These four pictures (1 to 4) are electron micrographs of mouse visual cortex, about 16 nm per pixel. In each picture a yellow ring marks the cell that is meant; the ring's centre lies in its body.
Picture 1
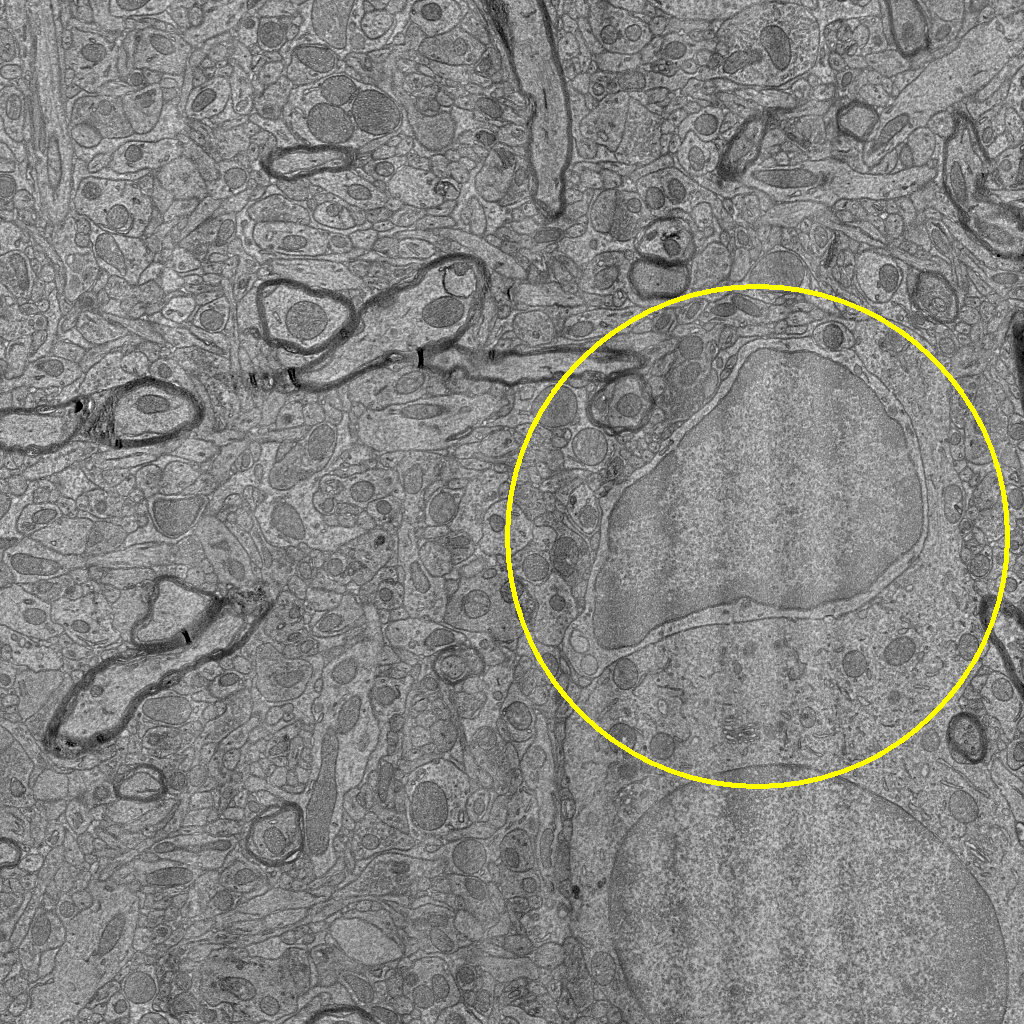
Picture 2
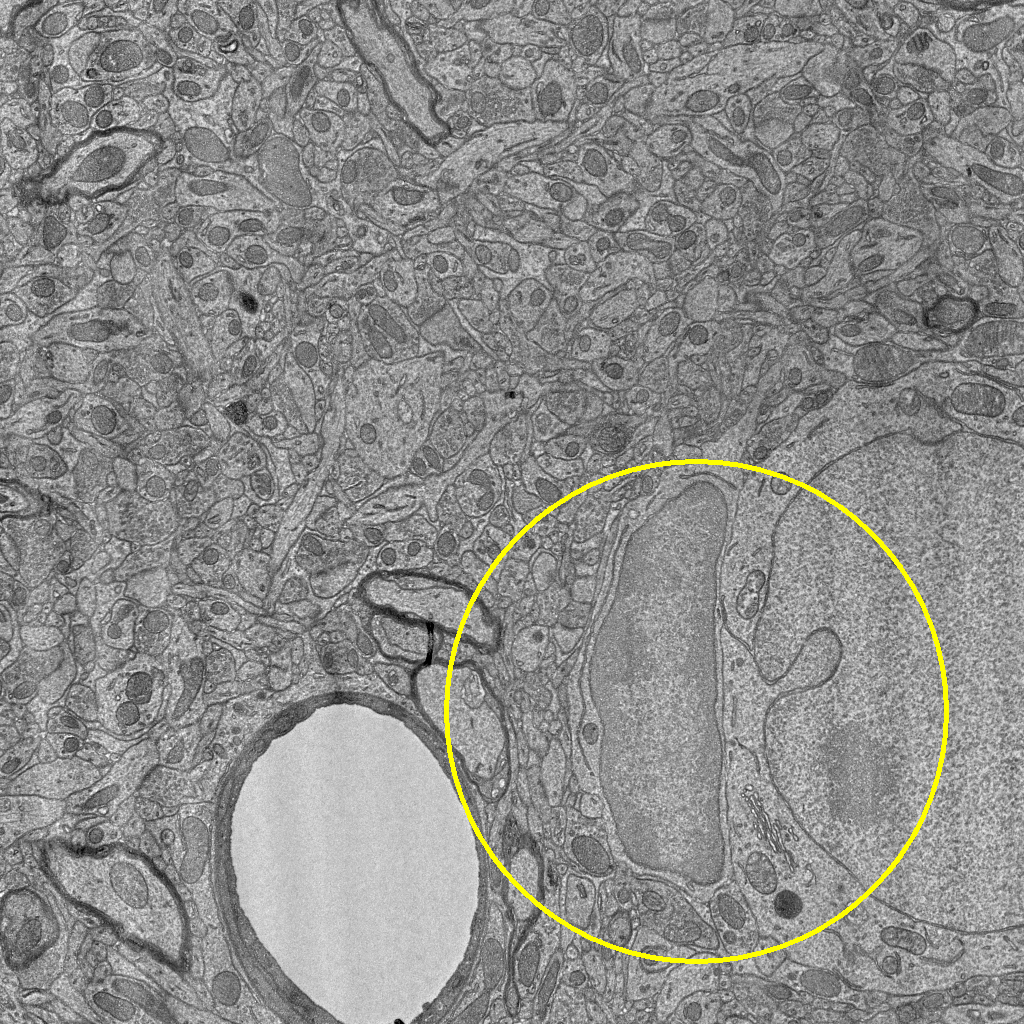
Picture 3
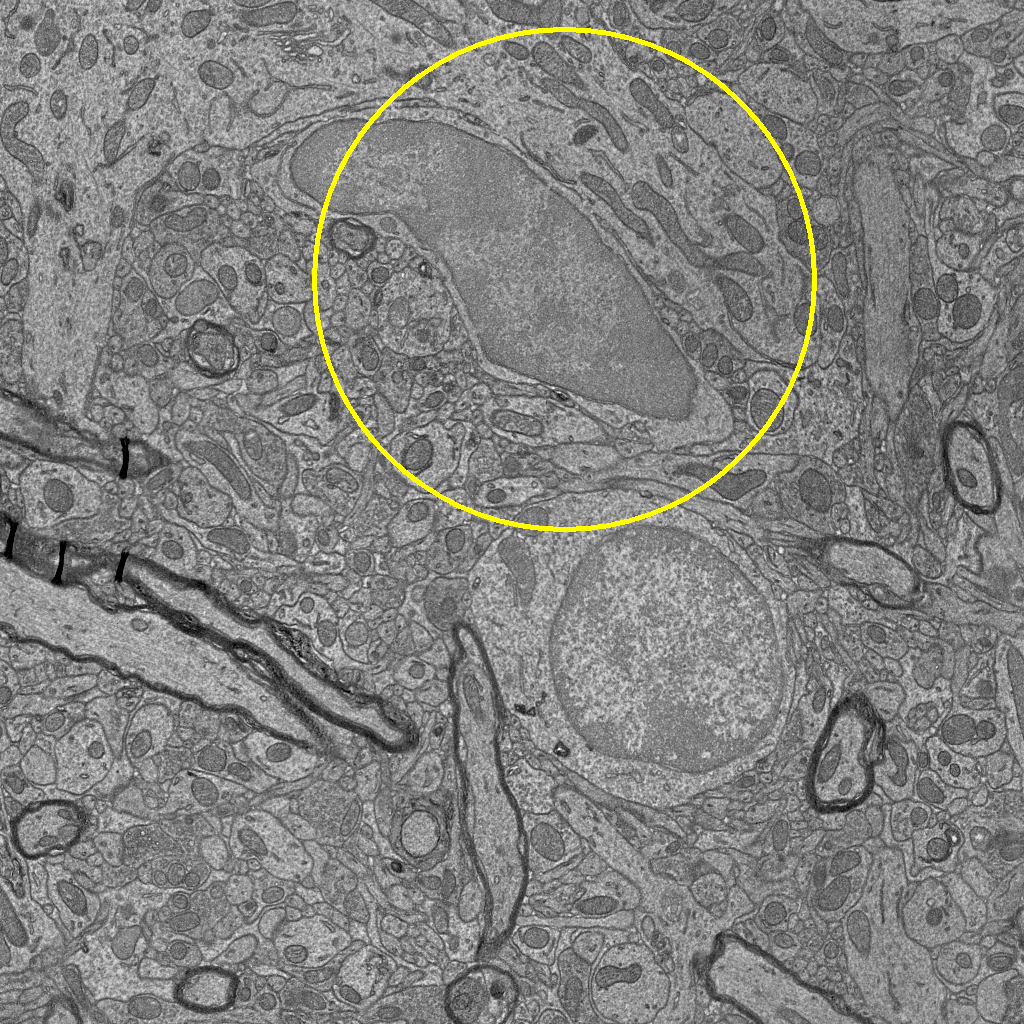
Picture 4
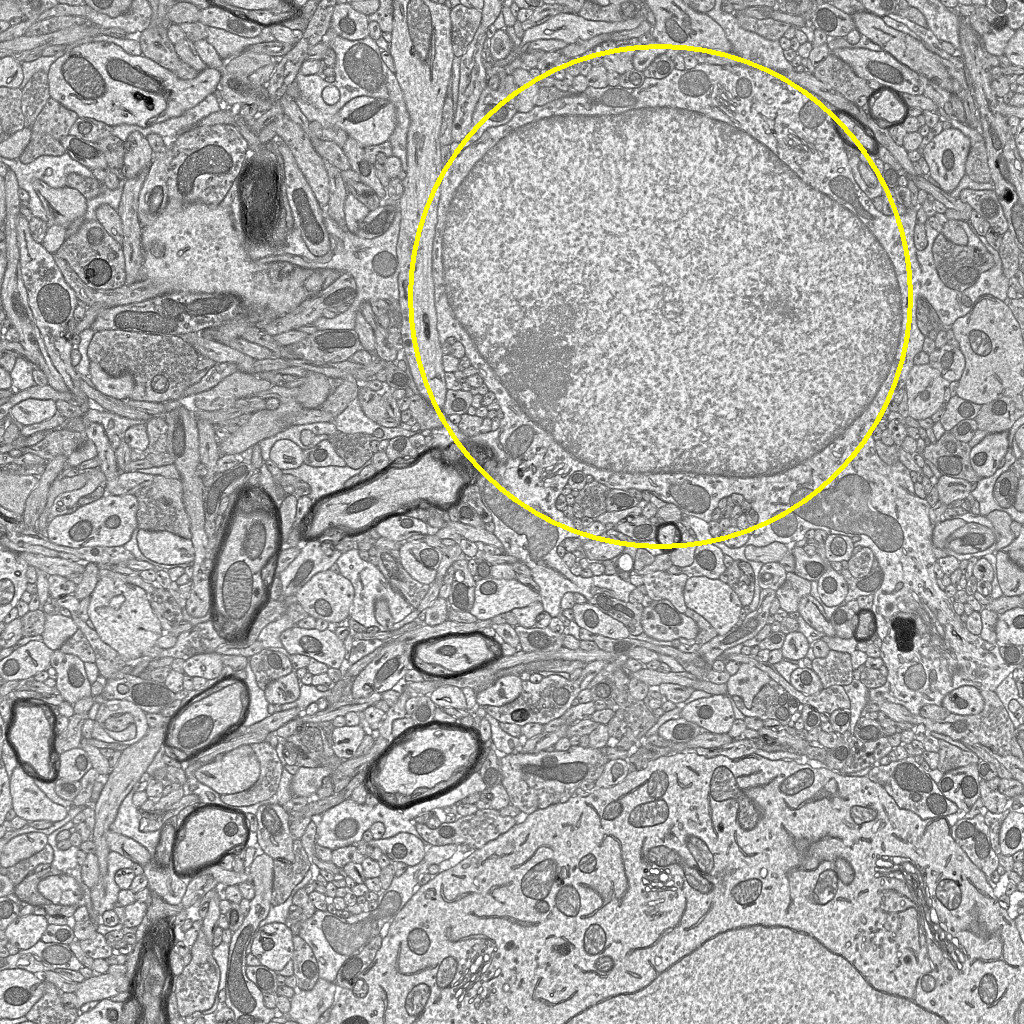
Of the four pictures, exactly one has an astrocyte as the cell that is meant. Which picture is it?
Picture 4 shows the astrocyte.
